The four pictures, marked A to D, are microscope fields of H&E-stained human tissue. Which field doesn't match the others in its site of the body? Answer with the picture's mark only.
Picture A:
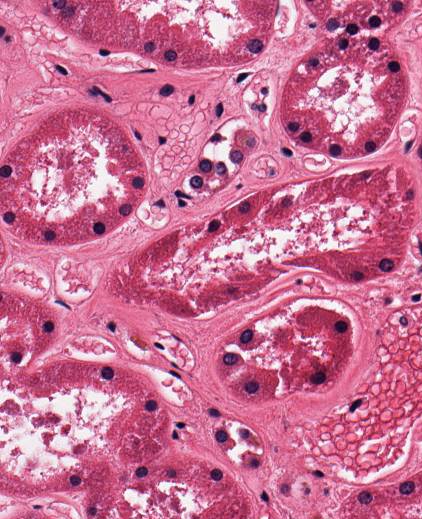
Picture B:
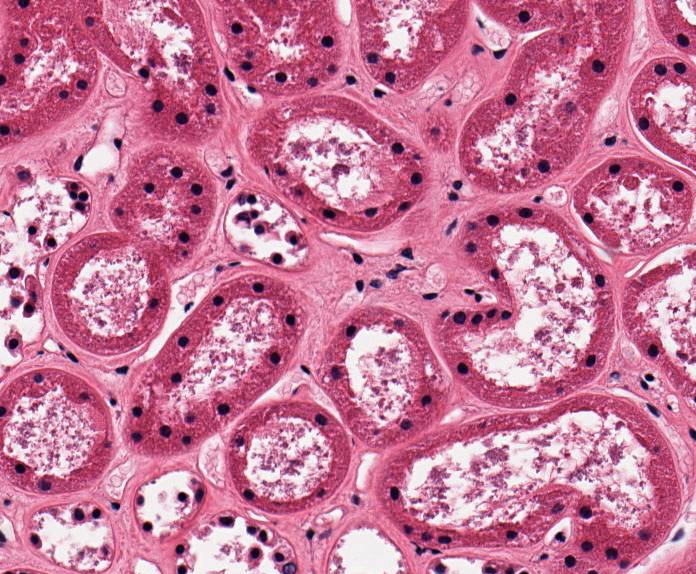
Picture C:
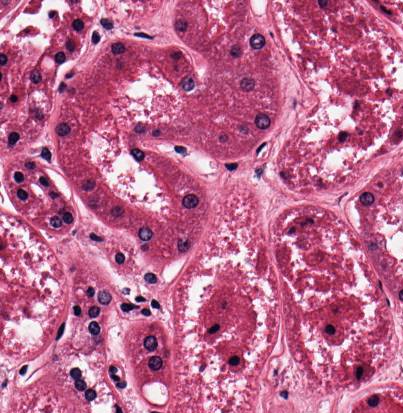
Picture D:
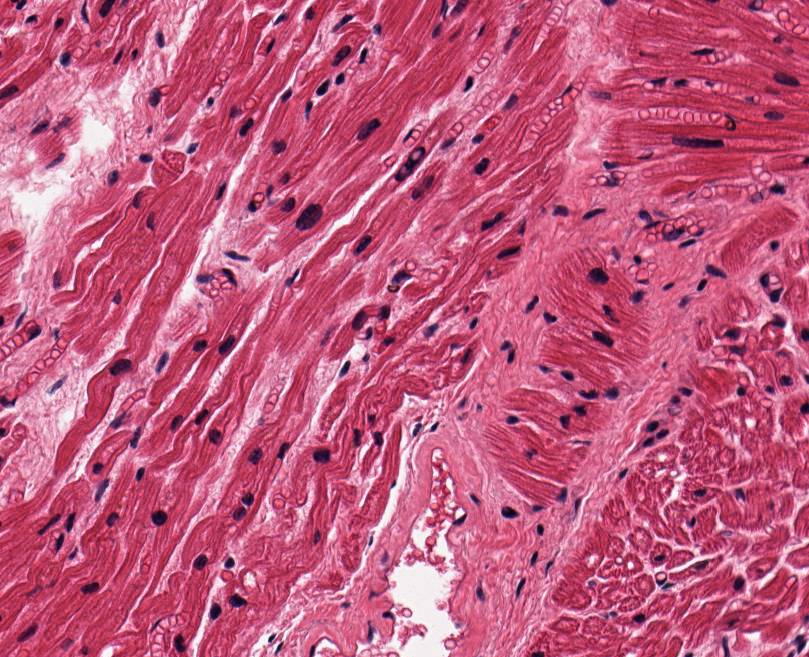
D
